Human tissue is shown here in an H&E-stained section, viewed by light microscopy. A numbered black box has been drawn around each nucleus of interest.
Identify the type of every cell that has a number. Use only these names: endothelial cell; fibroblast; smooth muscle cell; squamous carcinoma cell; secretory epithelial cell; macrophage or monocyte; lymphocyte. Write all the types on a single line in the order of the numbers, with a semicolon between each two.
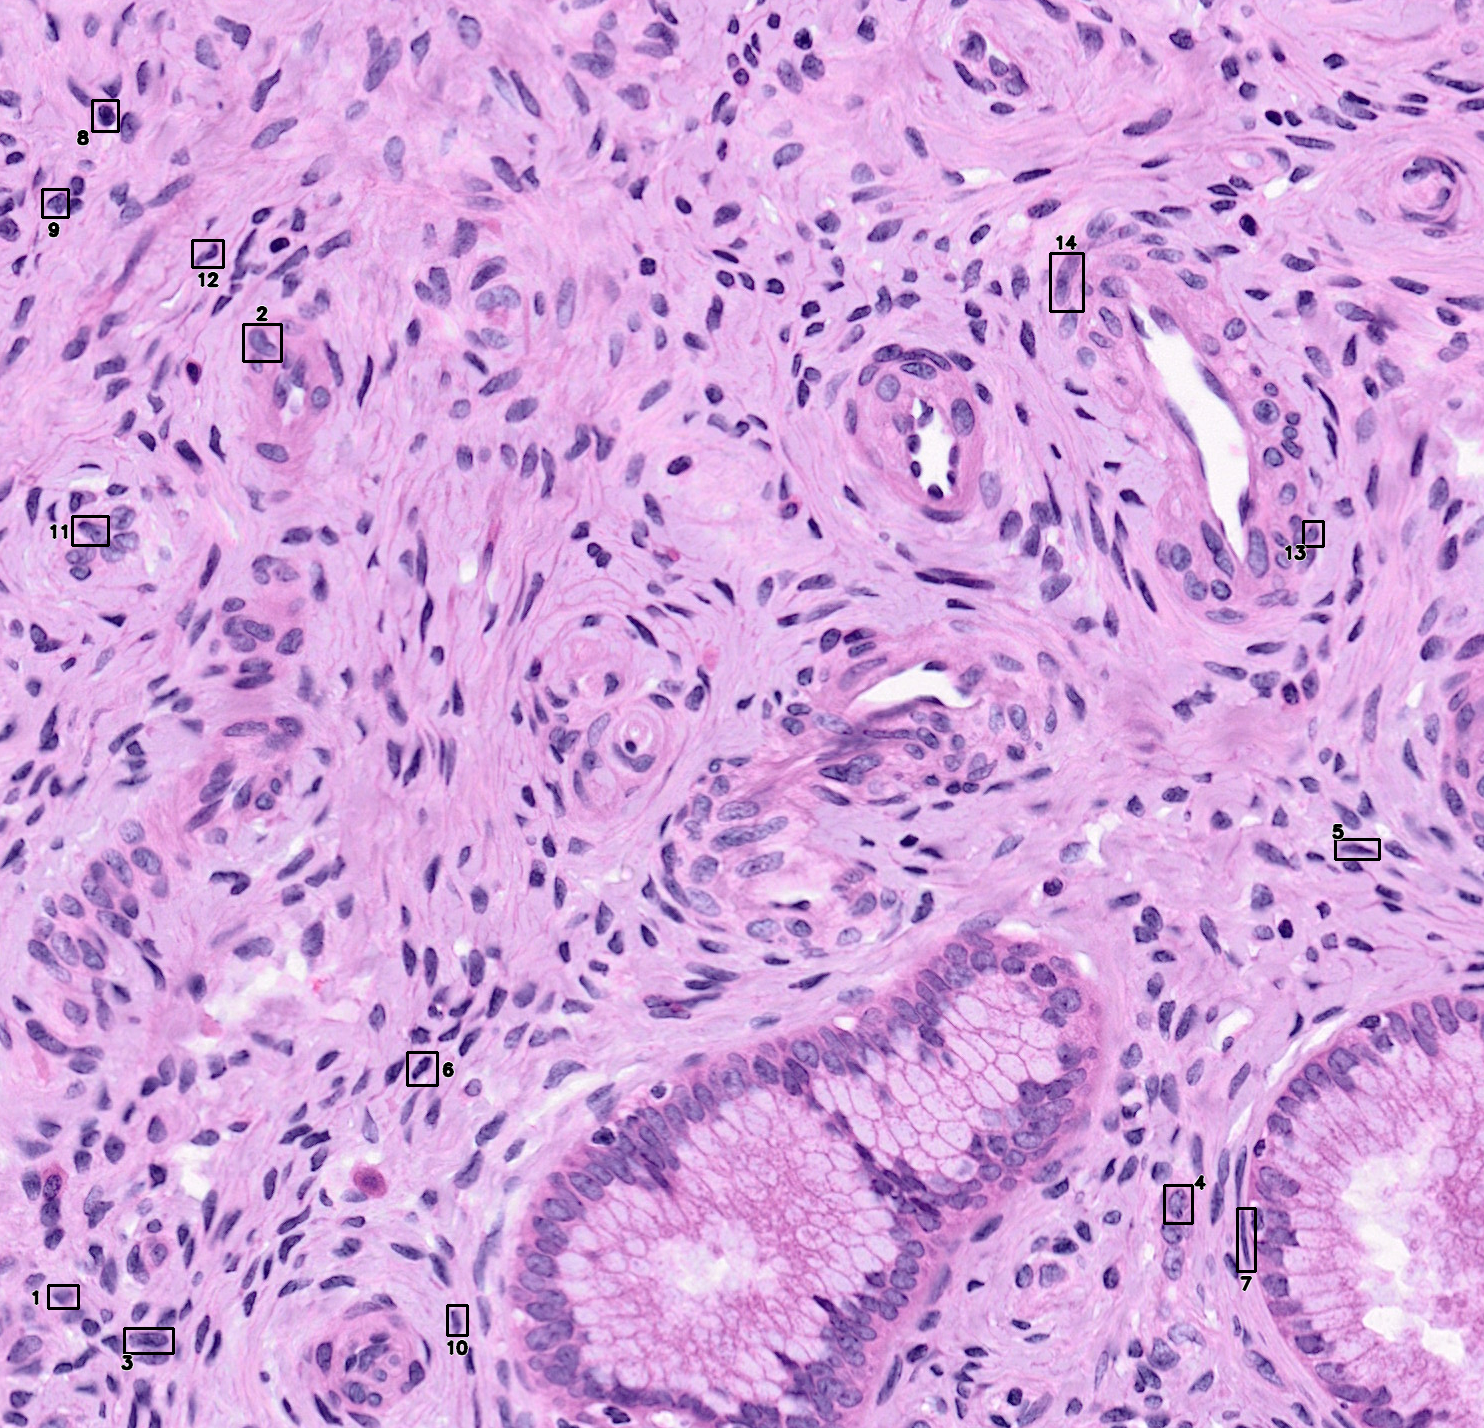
fibroblast; smooth muscle cell; fibroblast; endothelial cell; fibroblast; fibroblast; fibroblast; lymphocyte; fibroblast; fibroblast; endothelial cell; fibroblast; smooth muscle cell; smooth muscle cell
